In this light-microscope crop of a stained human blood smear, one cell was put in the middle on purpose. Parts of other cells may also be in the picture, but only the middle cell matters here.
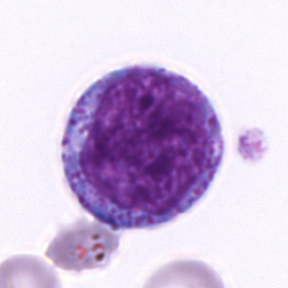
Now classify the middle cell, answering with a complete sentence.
The middle of this crop holds a promyelocyte.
